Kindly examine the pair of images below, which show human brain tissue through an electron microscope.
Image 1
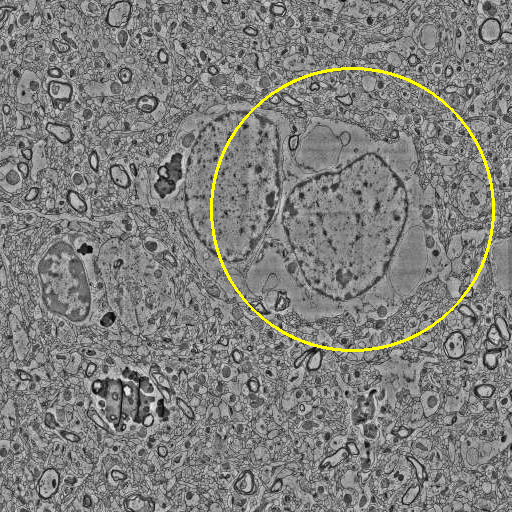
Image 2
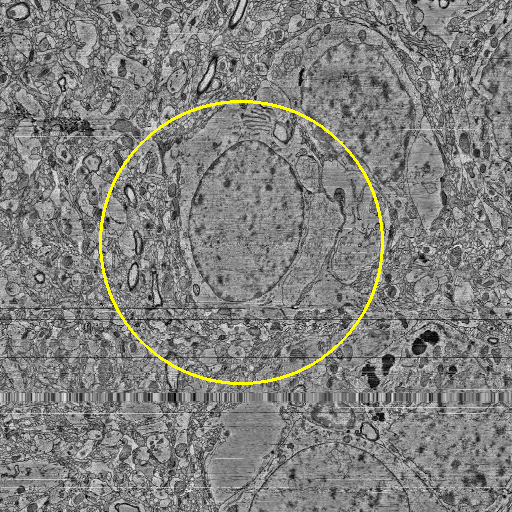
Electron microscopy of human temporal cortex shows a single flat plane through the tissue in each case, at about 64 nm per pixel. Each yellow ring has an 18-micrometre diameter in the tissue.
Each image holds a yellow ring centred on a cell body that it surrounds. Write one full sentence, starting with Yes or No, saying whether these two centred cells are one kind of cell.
Yes, both cells at the centres of the yellow rings belong to one kind of cell.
